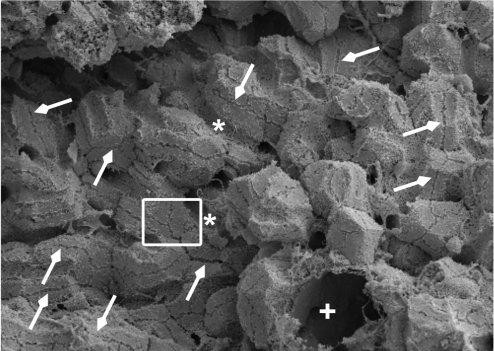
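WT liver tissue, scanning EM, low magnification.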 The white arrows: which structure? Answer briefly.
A: Canaliculae broken open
